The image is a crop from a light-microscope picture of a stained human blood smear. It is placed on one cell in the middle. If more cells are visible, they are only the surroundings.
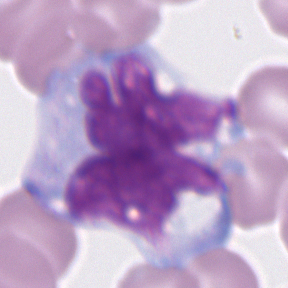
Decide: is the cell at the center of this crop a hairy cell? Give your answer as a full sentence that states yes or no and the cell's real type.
No, the central cell is counted as a monocyte instead of a hairy cell.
